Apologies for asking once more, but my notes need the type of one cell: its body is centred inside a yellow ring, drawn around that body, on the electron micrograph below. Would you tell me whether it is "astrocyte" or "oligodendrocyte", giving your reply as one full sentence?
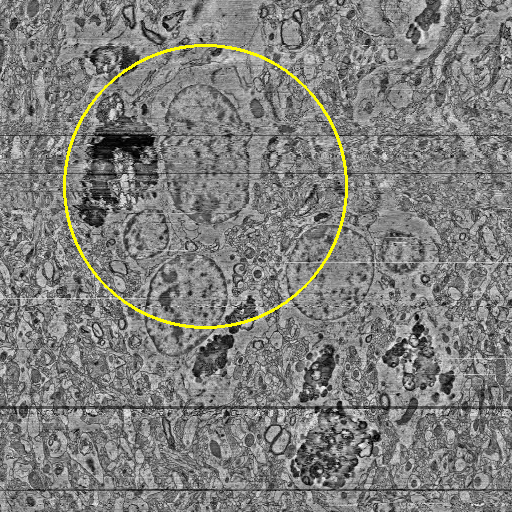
The cell that the yellow ring is centred on is an astrocyte in this micrograph.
